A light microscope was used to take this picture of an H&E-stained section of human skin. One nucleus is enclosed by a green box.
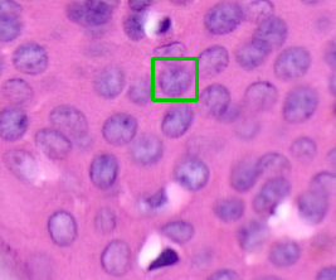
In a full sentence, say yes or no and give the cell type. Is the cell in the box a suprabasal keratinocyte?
Yes, as far as cell type goes, the cell in the box is a suprabasal keratinocyte.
